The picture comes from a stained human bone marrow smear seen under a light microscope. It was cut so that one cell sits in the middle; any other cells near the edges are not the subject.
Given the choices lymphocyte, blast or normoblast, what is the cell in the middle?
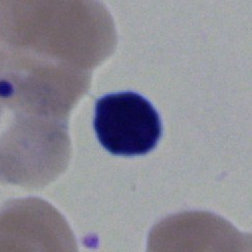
lymphocyte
